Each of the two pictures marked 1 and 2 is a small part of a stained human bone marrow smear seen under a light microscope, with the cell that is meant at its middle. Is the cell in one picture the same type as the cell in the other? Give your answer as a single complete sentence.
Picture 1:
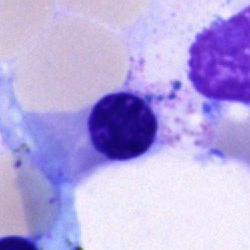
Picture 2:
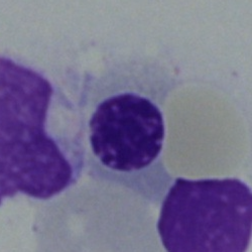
Yes, the two pictures both show erythroblasts.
